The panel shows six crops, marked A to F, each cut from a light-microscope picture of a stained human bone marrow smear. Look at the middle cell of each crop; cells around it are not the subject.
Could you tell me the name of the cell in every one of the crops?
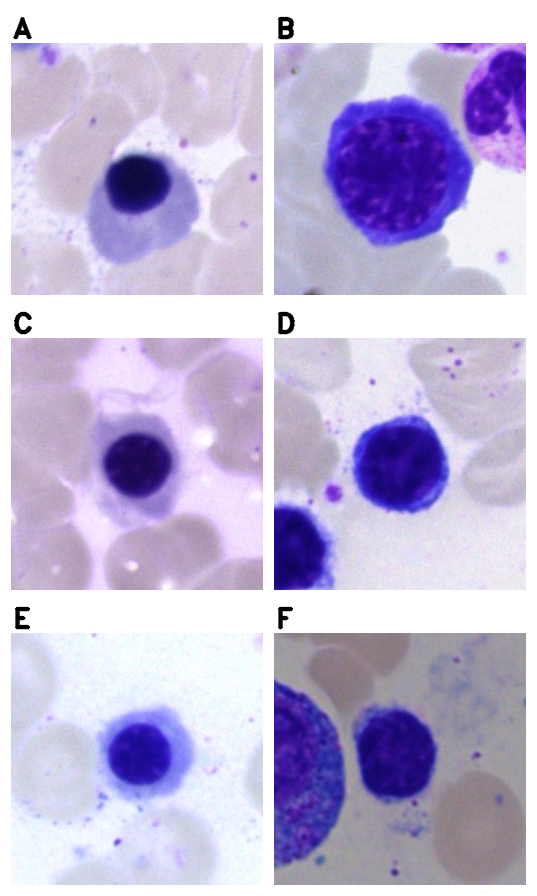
A: erythroblast
B: erythroblast
C: erythroblast
D: lymphocyte
E: erythroblast
F: lymphocyte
